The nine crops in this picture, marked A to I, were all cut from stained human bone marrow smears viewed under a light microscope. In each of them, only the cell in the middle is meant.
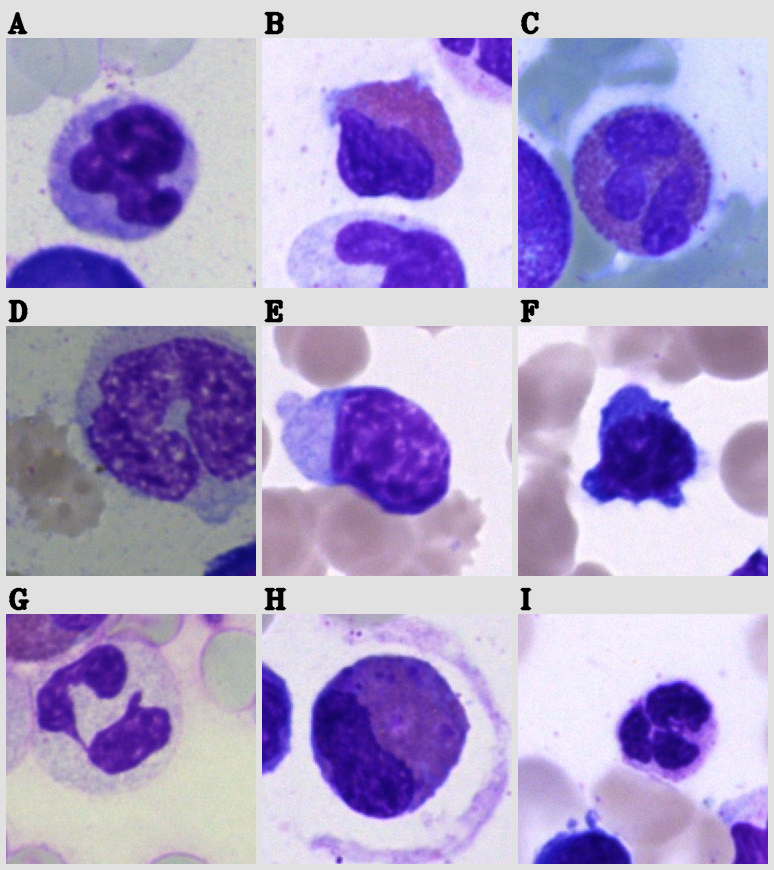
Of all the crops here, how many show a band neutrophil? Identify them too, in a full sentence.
The count is zero, since none of the crops contains band neutrophils.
